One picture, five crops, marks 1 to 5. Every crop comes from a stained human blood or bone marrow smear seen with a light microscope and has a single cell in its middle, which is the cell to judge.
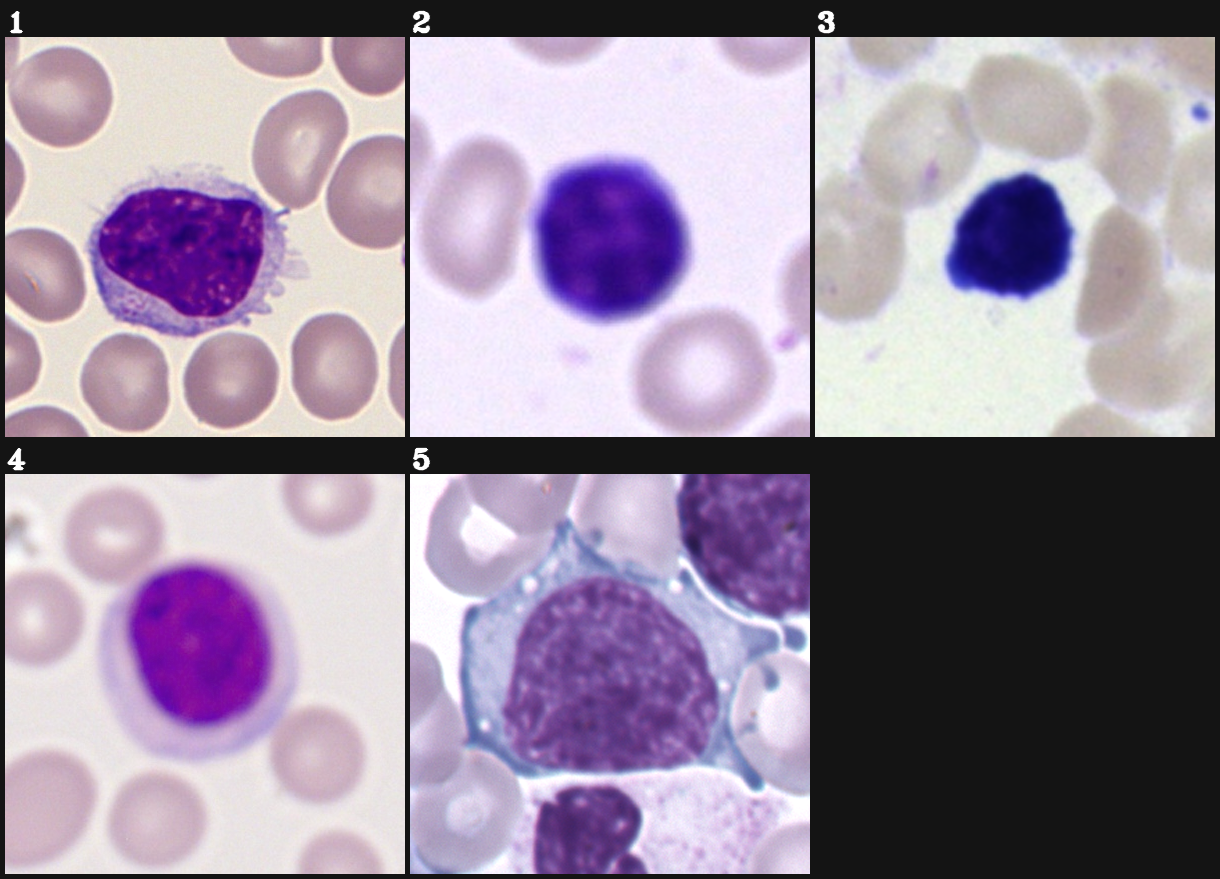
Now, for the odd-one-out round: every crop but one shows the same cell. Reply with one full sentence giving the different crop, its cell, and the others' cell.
Here the outlier is crop 5, which is a blast, and the rest are lymphocytes.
